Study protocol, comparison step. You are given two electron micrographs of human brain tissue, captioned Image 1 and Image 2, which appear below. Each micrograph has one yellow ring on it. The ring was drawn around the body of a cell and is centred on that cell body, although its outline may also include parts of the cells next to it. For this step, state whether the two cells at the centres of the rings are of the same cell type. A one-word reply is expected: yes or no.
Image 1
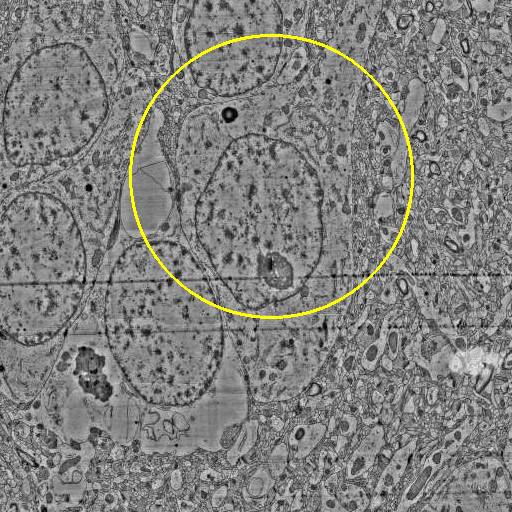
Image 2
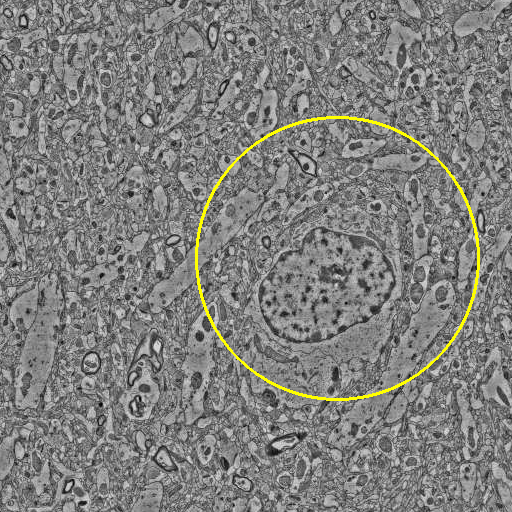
no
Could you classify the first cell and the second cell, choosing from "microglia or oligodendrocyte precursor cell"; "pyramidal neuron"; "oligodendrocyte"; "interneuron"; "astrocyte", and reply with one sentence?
The second cell is a microglial cell or oligodendrocyte precursor cell, while the first is a pyramidal neuron.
